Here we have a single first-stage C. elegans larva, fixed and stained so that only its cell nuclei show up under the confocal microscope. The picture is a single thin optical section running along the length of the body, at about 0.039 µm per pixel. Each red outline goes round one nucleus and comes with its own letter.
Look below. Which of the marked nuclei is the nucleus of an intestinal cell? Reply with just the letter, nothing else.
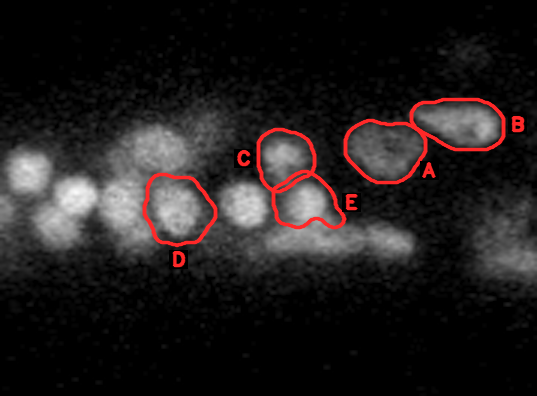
A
